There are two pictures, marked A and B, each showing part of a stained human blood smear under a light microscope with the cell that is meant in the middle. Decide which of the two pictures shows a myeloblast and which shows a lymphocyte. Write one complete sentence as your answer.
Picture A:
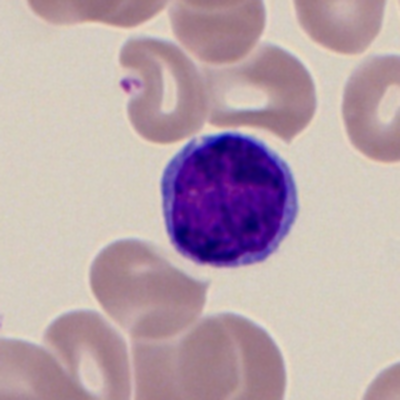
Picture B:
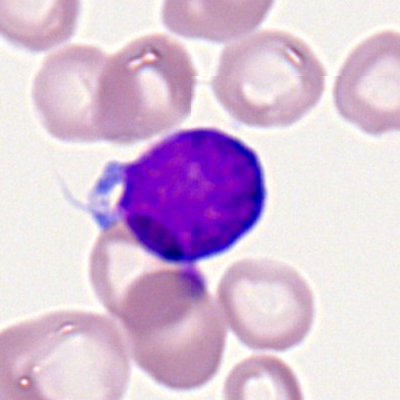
The cell in picture A is a lymphocyte, and the one in picture B is a myeloblast.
